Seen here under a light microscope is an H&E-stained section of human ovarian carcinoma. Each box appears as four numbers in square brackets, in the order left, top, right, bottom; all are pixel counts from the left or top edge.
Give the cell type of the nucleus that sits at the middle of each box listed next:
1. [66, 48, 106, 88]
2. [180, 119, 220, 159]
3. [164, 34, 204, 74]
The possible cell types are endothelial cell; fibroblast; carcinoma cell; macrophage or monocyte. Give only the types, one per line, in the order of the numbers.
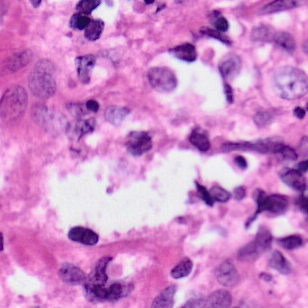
macrophage or monocyte
carcinoma cell
carcinoma cell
